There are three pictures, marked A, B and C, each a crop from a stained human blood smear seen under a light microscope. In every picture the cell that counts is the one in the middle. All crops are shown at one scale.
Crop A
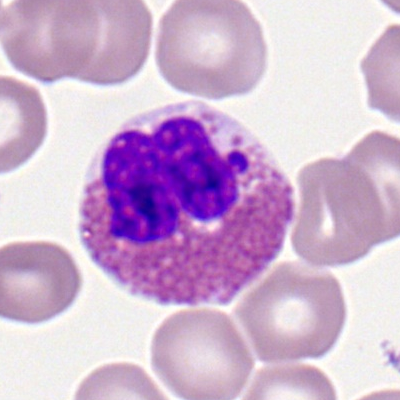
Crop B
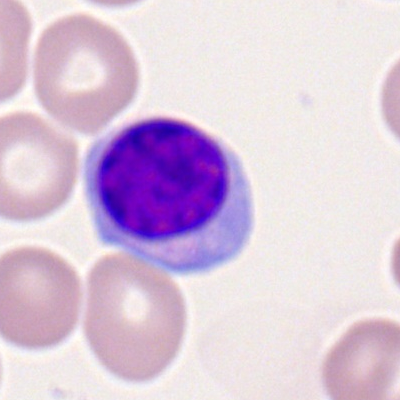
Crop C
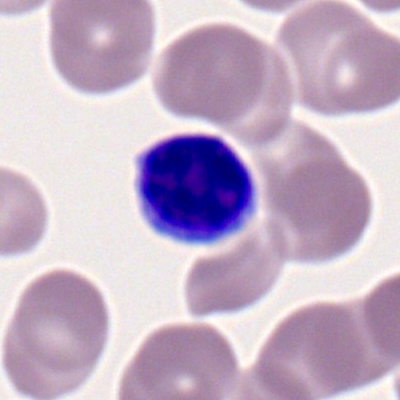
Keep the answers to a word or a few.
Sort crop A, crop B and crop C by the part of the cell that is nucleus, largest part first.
C, B, A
